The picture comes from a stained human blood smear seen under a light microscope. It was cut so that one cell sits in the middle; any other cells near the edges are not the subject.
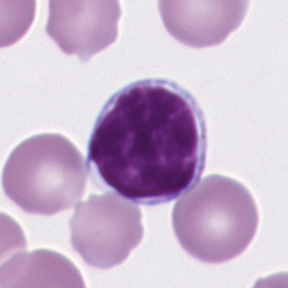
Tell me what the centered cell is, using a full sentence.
This crop is built around a typical lymphocyte at its centre.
